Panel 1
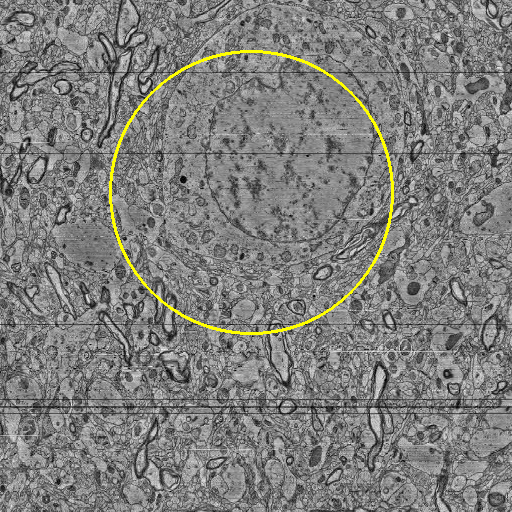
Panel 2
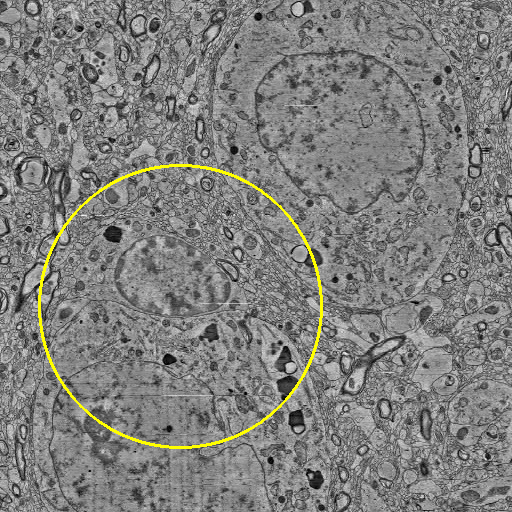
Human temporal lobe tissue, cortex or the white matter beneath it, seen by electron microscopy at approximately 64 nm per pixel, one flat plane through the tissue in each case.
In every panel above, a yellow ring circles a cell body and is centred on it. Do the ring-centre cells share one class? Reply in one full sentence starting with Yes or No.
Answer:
No, the two cells at the ring centres in the panels belong to two classes.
